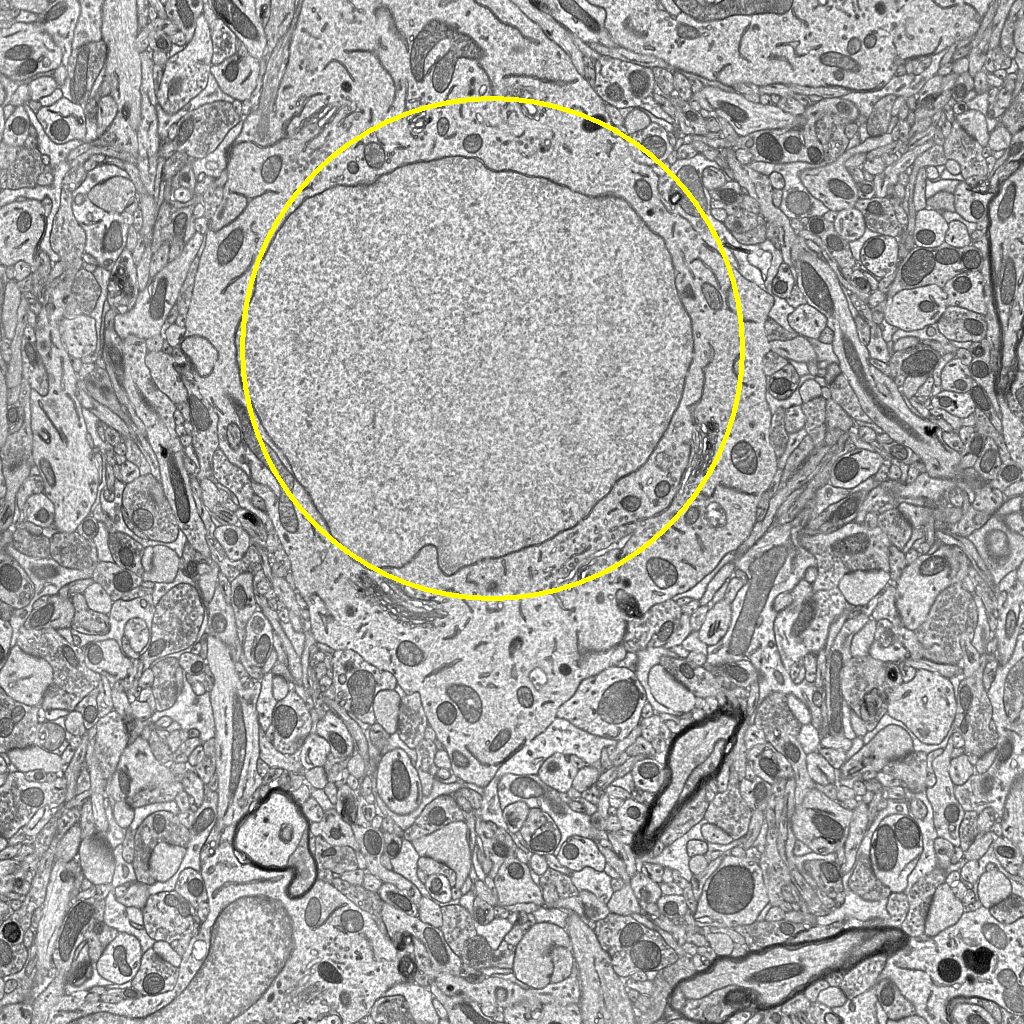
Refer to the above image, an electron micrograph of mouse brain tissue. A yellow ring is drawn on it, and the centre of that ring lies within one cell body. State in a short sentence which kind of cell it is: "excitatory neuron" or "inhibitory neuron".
The centre of the ring falls on an excitatory neuron.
